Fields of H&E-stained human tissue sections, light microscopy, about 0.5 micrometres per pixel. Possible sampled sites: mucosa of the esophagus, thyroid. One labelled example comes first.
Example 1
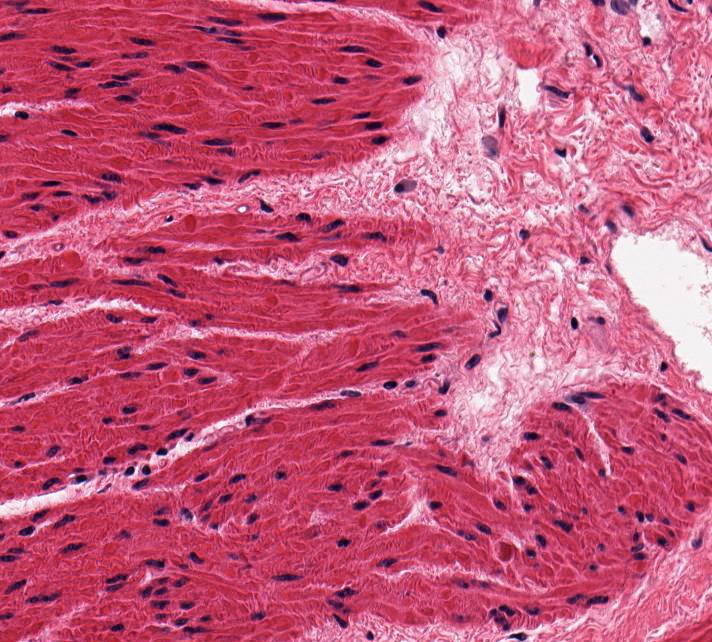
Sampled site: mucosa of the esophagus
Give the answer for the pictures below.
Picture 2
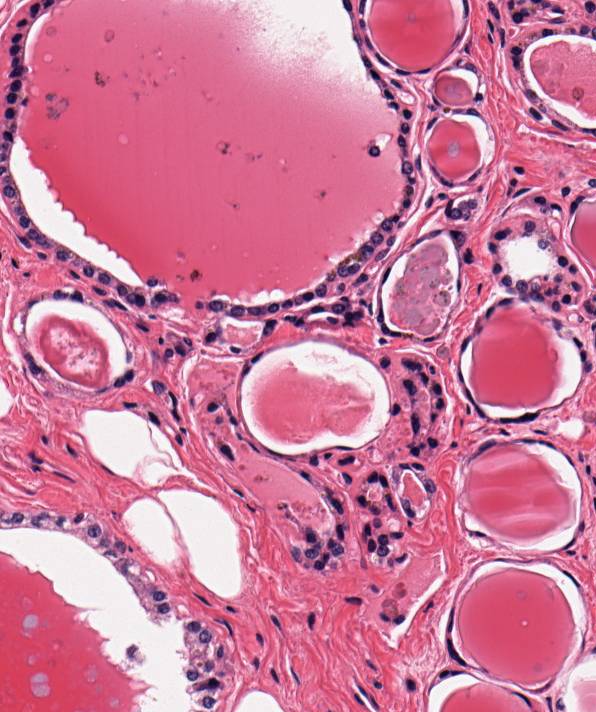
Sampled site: thyroid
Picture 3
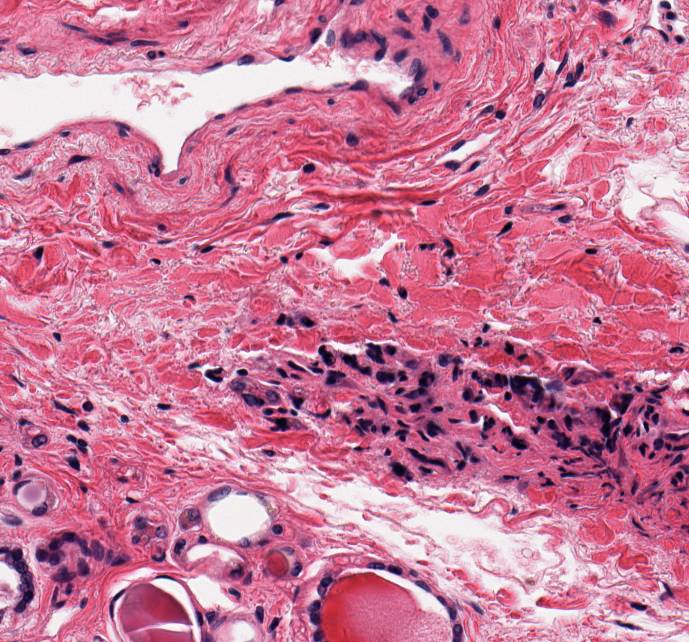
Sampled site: thyroid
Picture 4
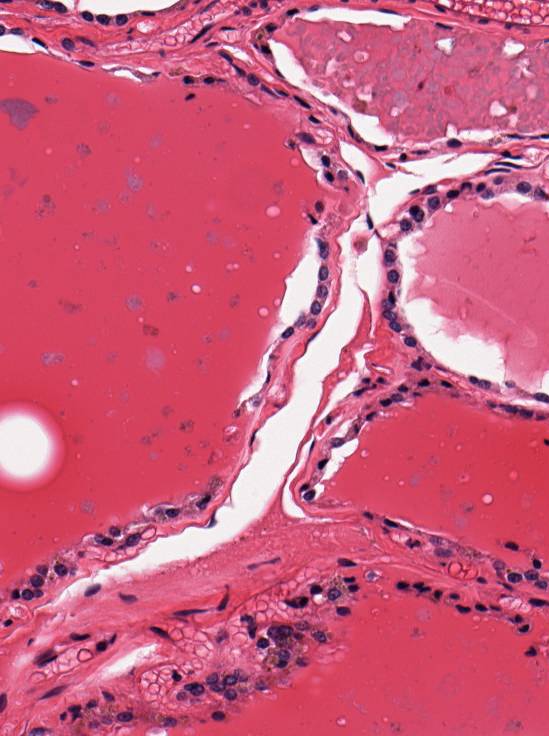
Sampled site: thyroid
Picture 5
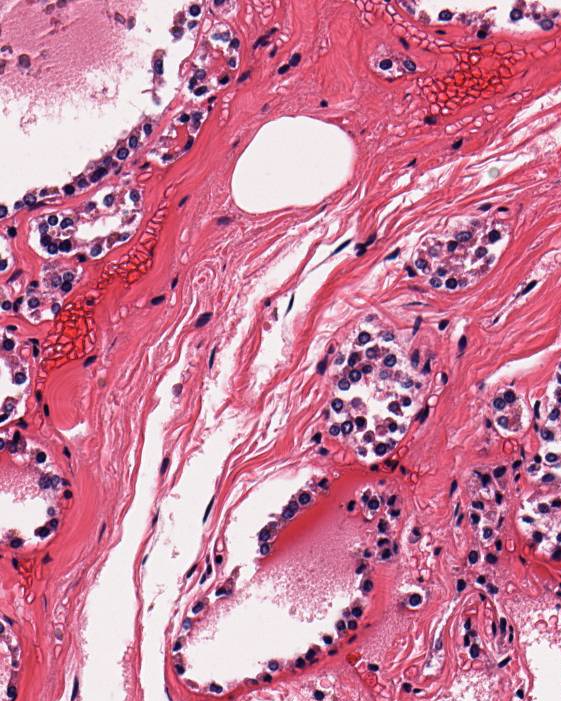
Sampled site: thyroid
